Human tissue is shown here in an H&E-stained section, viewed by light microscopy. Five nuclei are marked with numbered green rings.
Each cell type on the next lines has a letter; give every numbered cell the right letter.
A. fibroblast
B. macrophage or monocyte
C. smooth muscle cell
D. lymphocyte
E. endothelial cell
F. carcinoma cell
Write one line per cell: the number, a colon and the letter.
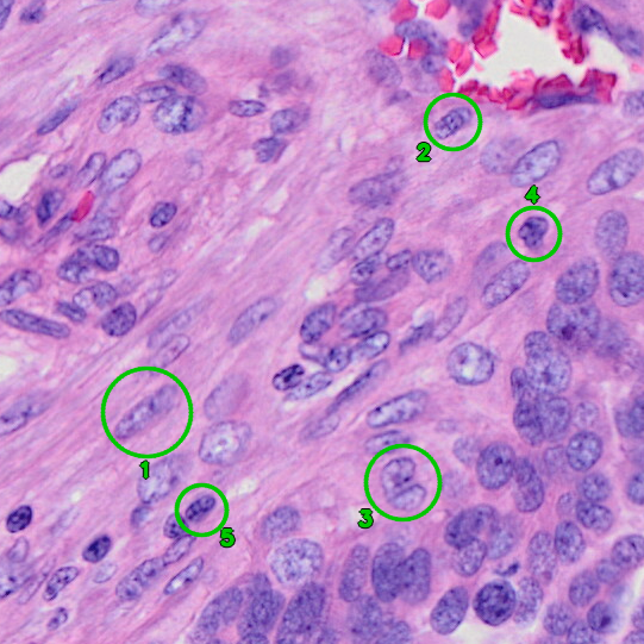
1: A
2: B
3: A
4: D
5: D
